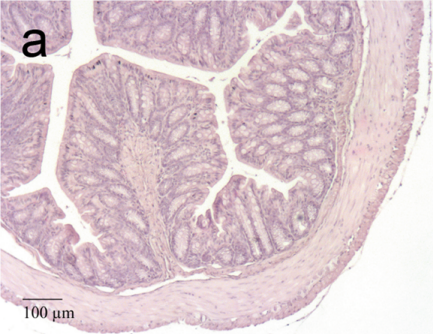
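This cross-section of the colon shows the mucosa thrown into several folds that project into a branching central lumen. The mucosa is made of closely packed tubular crypts lined by columnar epithelium, with purple nuclei at their bases and paler cytoplasm above. A thin, pink, compact band of smooth muscle surrounds the whole wall. The layer between the mucosa and the muscle is narrow.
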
